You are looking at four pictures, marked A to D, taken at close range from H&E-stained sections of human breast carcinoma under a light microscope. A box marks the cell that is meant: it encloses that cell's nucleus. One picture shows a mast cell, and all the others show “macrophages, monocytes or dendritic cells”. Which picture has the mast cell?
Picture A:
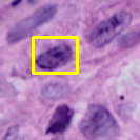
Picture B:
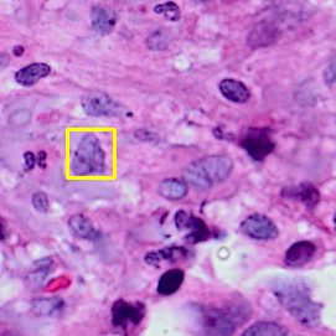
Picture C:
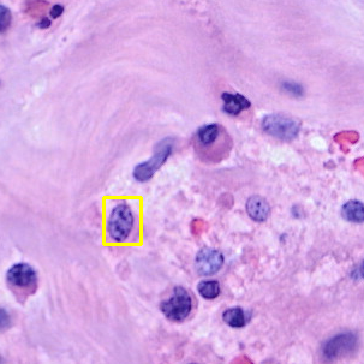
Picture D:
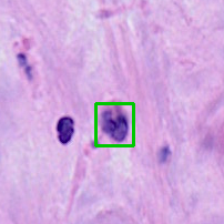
C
